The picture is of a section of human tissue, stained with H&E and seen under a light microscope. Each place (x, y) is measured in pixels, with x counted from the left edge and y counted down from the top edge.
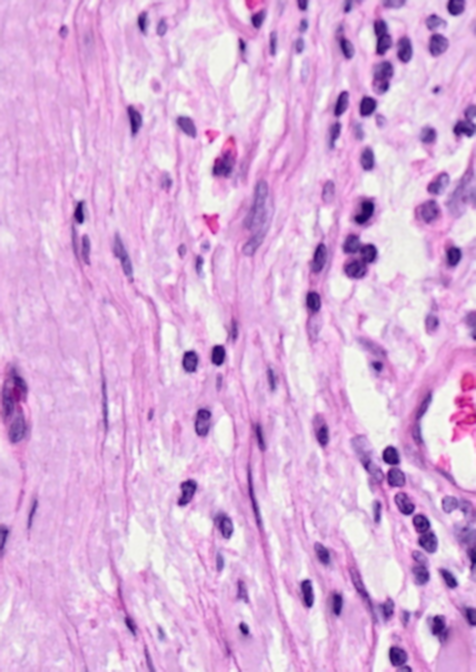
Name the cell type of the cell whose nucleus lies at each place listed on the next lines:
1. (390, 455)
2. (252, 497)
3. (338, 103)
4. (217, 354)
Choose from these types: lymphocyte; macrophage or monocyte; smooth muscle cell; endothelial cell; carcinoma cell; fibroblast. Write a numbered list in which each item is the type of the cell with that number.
1. lymphocyte
2. fibroblast
3. lymphocyte
4. lymphocyte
